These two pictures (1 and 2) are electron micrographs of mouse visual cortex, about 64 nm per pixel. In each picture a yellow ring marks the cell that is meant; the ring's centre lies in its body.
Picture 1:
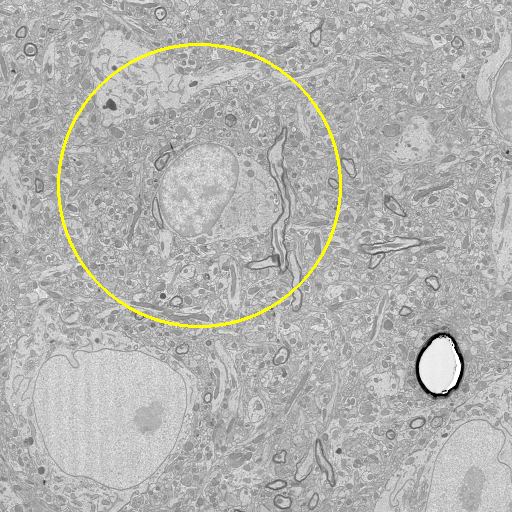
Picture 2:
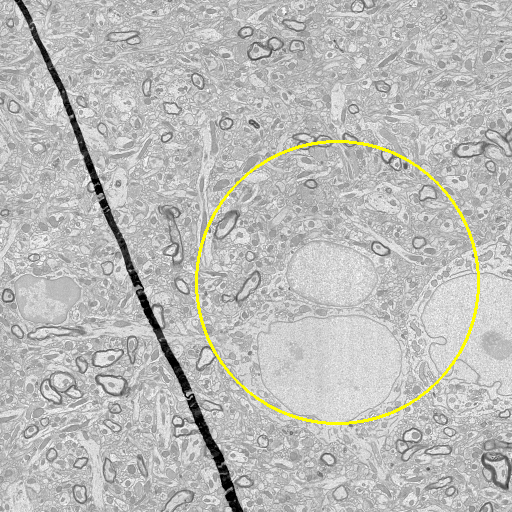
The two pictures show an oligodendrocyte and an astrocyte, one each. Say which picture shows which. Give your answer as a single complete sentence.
It is picture 1 that shows an oligodendrocyte, and picture 2 that shows an astrocyte.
